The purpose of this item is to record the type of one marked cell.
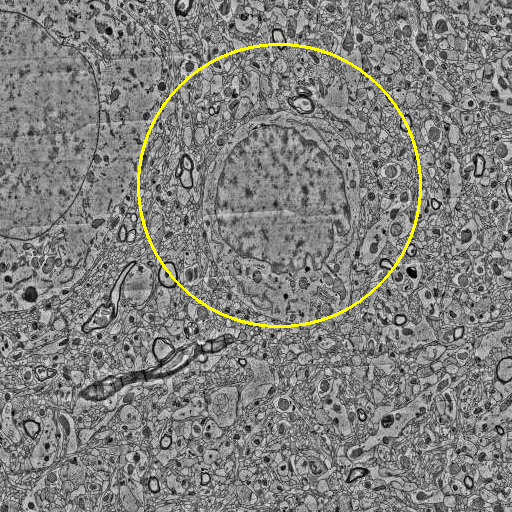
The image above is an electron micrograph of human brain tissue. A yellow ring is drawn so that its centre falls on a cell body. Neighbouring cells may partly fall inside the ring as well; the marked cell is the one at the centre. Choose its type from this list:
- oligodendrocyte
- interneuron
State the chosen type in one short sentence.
What the ring marks here is an interneuron.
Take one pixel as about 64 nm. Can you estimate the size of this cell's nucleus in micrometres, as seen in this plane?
Roughly 9 micrometres across for the nucleus, in this plane.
